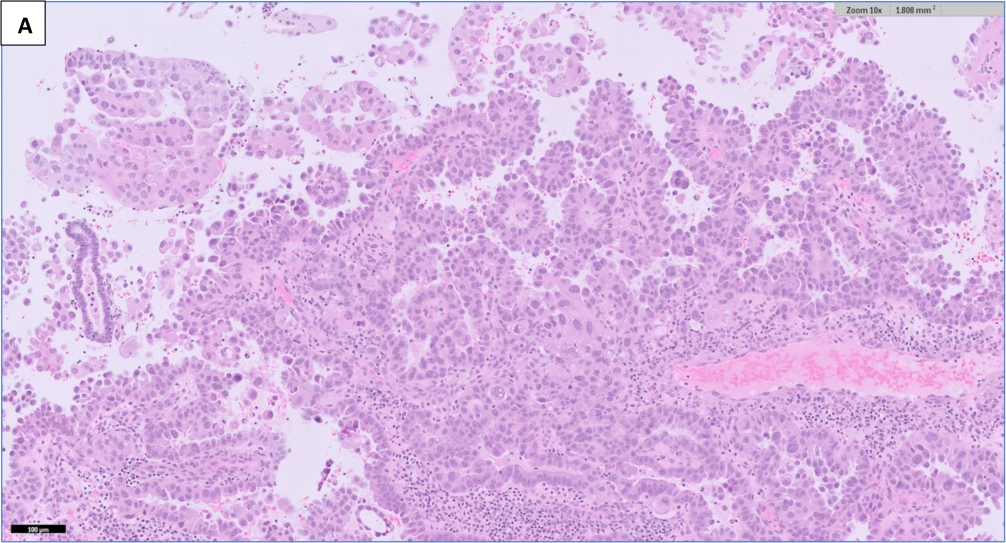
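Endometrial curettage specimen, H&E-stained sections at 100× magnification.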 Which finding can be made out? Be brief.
Hobnailed appearance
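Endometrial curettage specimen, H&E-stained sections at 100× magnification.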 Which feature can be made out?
Tubulo-papillary and glandular architecture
